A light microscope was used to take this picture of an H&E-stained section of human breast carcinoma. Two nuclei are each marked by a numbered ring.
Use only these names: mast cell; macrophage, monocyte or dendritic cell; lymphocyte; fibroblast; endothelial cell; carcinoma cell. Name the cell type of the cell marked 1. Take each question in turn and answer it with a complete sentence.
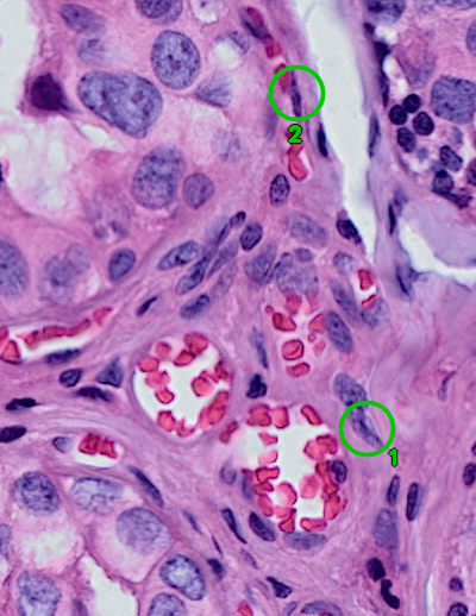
Cell 1 should be recorded as a fibroblast.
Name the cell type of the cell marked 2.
That cell with number 2 is an endothelial cell.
